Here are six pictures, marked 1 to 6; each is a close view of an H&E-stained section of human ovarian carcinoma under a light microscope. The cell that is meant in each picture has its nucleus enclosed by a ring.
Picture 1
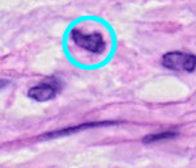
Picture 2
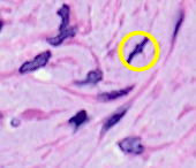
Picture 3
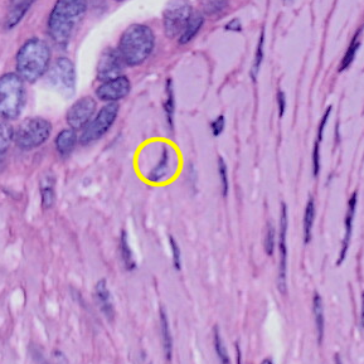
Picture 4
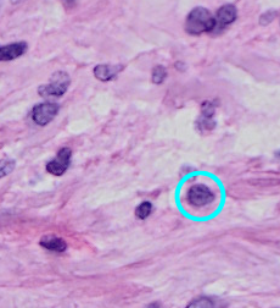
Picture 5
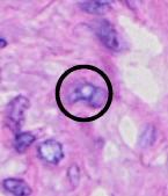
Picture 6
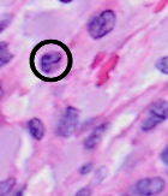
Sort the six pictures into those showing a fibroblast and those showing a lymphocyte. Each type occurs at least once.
1: lymphocyte
2: fibroblast
3: fibroblast
4: lymphocyte
5: fibroblast
6: lymphocyte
